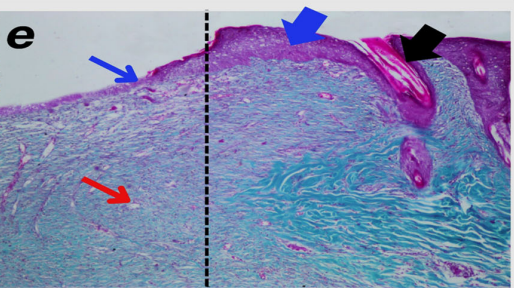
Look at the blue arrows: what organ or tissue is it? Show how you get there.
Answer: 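The blue arrows point to the red-purple layer covering the surface of the section. The layer is several cells thick and lies over blue-green dermis. That points to this answer: Stratified squamous keratinized epithelium.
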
